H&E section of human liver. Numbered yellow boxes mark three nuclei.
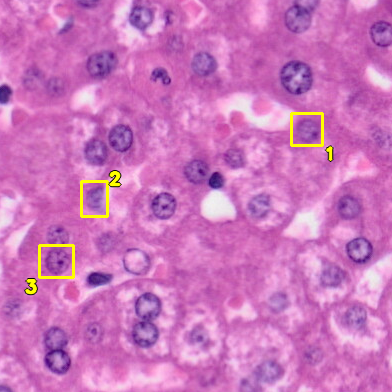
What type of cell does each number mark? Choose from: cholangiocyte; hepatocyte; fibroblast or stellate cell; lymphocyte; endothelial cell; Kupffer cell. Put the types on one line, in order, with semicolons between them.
hepatocyte; endothelial cell; hepatocyte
